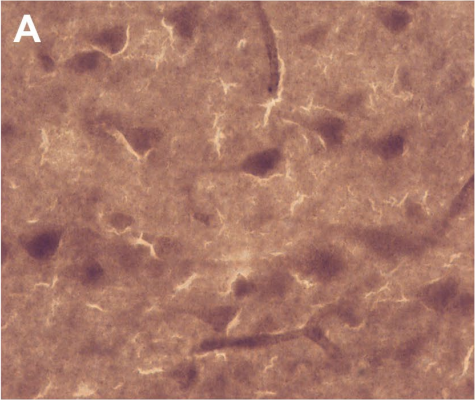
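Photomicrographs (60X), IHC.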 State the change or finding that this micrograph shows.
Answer: fissured neuropil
